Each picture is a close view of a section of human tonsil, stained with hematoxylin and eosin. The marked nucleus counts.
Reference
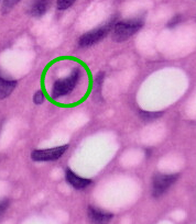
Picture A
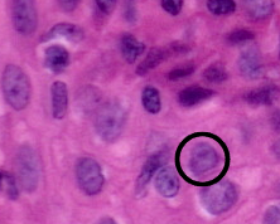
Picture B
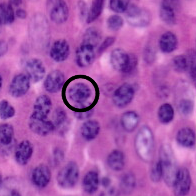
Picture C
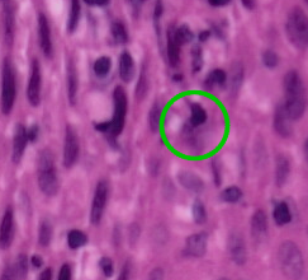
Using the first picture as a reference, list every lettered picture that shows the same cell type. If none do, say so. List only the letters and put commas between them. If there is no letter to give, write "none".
A, C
